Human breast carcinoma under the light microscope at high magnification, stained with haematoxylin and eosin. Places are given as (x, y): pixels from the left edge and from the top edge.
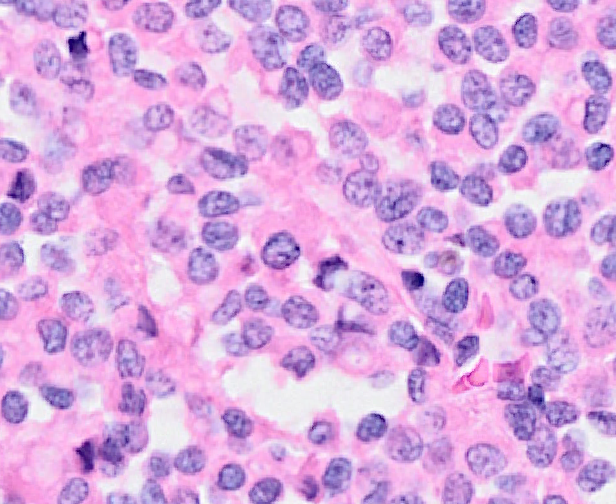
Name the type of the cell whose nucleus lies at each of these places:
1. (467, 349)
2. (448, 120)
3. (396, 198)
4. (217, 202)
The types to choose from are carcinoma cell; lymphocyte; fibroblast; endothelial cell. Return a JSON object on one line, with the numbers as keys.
{"1": "endothelial cell", "2": "carcinoma cell", "3": "carcinoma cell", "4": "carcinoma cell"}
